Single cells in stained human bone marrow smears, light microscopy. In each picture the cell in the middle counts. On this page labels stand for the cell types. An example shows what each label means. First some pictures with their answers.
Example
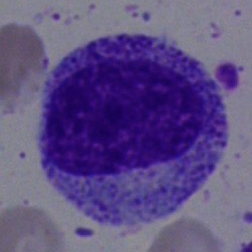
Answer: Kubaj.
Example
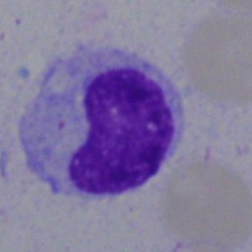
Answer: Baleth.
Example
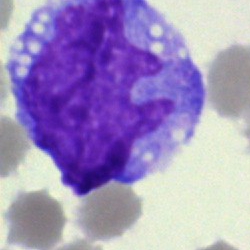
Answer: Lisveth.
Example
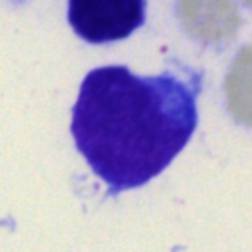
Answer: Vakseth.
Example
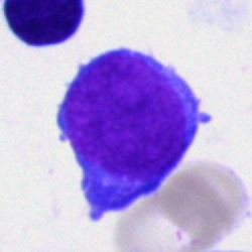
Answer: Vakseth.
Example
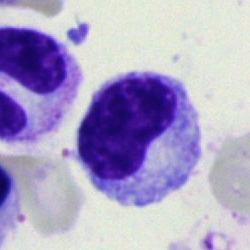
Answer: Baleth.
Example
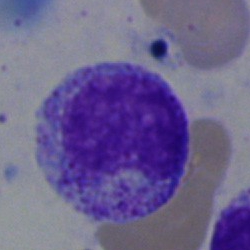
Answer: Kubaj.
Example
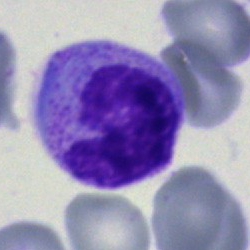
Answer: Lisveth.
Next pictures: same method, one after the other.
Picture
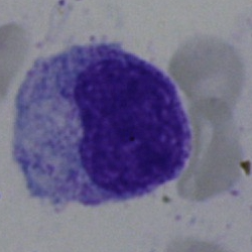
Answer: Kubaj.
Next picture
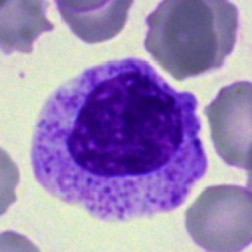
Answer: Kubaj.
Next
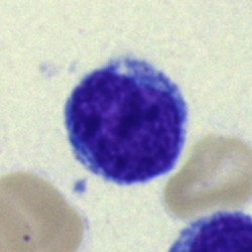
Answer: Vakseth.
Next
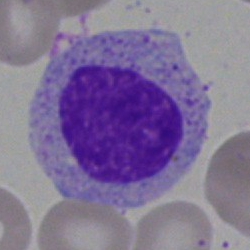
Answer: Kubaj.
